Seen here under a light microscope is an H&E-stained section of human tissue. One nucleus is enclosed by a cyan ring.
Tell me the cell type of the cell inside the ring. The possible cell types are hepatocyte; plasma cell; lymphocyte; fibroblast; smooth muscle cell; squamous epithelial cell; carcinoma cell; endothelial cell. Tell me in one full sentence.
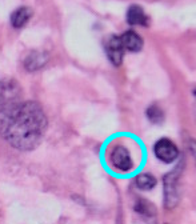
In this tissue sample, the cell inside the ring is a lymphocyte.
